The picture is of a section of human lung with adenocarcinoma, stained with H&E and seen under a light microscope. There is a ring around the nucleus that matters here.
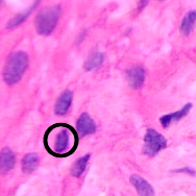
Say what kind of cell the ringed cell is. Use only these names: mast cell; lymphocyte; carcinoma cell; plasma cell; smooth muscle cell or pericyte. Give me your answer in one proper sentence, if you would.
Right, so the ringed cell is a smooth muscle cell or pericyte, to answer that.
